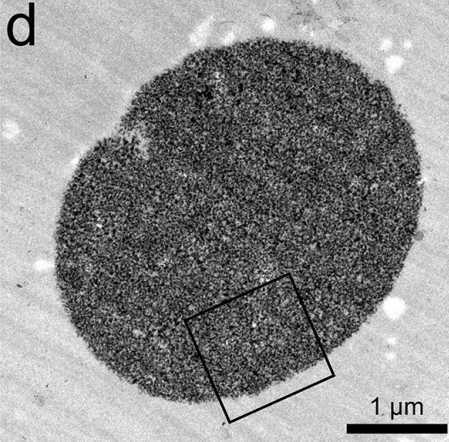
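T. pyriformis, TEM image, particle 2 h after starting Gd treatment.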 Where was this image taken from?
Extracellular.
